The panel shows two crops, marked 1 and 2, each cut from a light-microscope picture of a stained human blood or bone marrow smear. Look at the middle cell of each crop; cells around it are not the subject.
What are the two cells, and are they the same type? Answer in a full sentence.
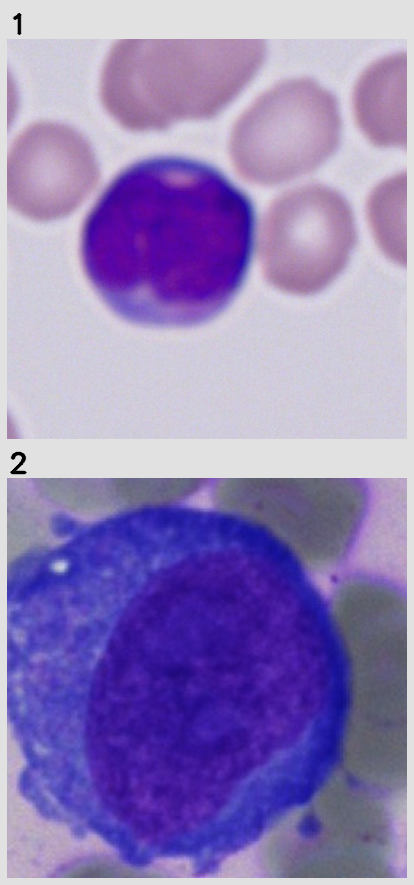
Yes, with regard to both crops, the central cells are blasts.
